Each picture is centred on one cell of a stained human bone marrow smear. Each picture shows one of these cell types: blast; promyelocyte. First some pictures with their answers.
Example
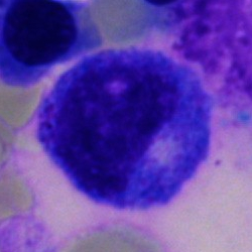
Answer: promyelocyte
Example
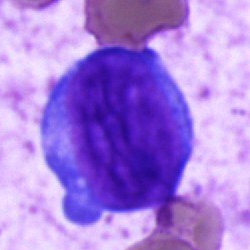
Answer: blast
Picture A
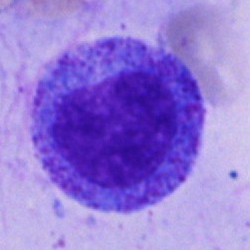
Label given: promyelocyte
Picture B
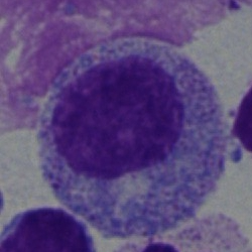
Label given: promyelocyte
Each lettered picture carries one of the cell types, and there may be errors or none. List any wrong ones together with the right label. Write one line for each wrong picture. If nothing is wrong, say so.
Every label is right.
